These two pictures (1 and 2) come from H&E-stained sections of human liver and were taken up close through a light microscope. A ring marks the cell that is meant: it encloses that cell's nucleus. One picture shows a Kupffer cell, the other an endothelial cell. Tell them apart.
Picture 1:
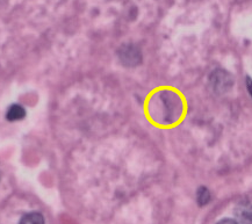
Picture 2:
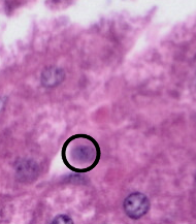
1: endothelial cell
2: Kupffer cell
